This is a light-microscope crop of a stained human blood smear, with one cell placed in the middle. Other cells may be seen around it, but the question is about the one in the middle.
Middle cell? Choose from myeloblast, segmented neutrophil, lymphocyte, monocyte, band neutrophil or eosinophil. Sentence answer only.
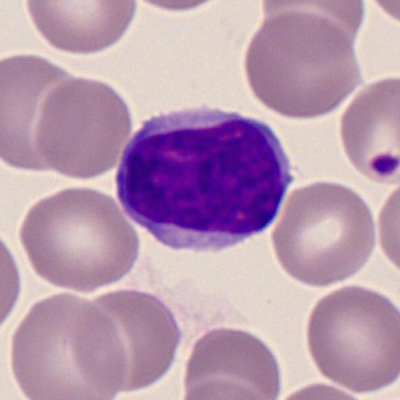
The middle cell in this particular crop is a lymphocyte.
